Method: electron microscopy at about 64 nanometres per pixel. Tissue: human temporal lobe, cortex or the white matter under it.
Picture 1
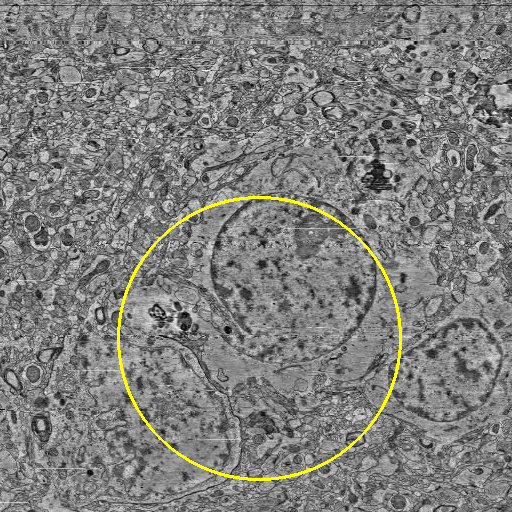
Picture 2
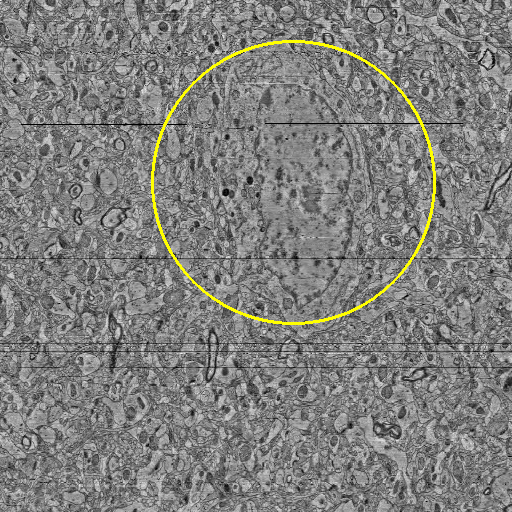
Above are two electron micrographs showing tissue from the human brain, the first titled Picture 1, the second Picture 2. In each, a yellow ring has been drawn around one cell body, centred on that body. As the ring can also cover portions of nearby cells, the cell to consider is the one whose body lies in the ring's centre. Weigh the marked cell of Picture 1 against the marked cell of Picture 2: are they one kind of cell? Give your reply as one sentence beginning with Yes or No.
No, the two cells sitting at the ring centres in the pictures are of two kinds.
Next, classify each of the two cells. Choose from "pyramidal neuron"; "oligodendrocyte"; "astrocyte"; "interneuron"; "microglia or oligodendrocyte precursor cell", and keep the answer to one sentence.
In the first picture it is an astrocyte; in the second it is an interneuron.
